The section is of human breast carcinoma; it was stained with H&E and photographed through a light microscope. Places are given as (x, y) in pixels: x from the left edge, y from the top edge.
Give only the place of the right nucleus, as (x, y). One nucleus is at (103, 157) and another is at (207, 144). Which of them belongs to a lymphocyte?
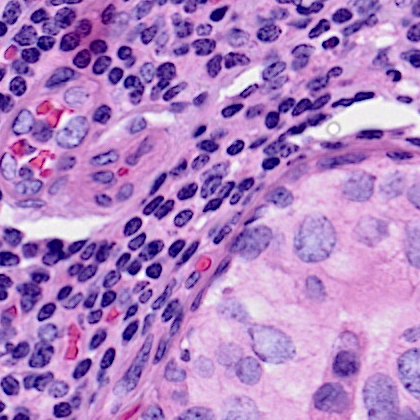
(207, 144)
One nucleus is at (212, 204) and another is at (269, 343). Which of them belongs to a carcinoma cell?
(269, 343)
